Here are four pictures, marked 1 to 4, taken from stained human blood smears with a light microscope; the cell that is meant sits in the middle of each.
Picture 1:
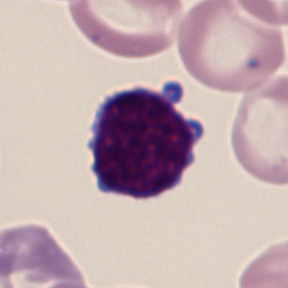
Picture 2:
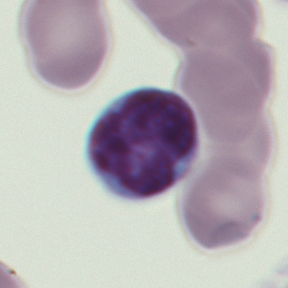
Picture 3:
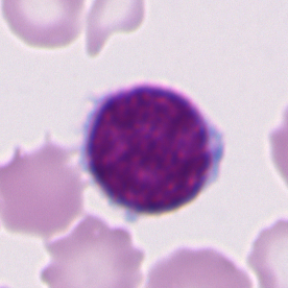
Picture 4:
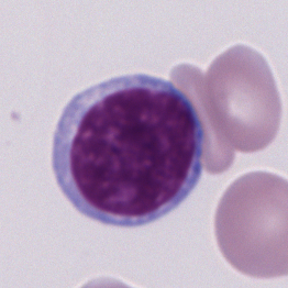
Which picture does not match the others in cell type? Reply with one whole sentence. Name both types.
Unlike the rest, which show typical lymphocytes, picture 3 shows a hairy cell.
